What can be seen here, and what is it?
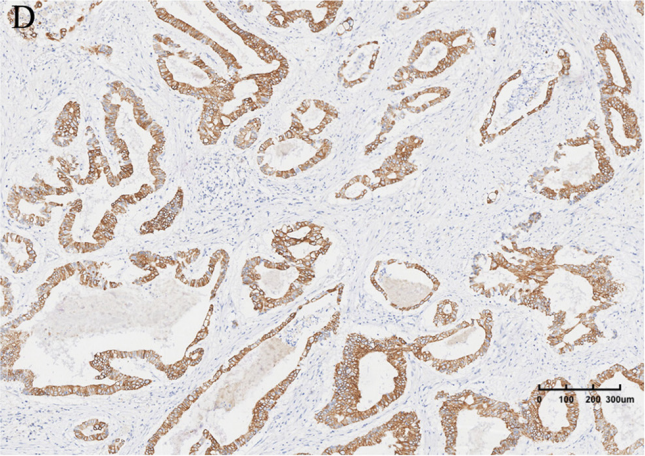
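This section shows atypical irregular glandular epithelium set in pale stroma, with the epithelial cells strongly stained brown. Glands of varying size and irregular, branching, angulated shape are lined by columnar cells whose cytoplasm is filled diffusely with brown stain, while their nuclei are blue. The intervening stroma contains spindle cells with blue nuclei and remains unstained. Several gland lumina contain pale, faintly stained material. The contrast between brown epithelium and blue stroma outlines the disorderly arrangement of the glands.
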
